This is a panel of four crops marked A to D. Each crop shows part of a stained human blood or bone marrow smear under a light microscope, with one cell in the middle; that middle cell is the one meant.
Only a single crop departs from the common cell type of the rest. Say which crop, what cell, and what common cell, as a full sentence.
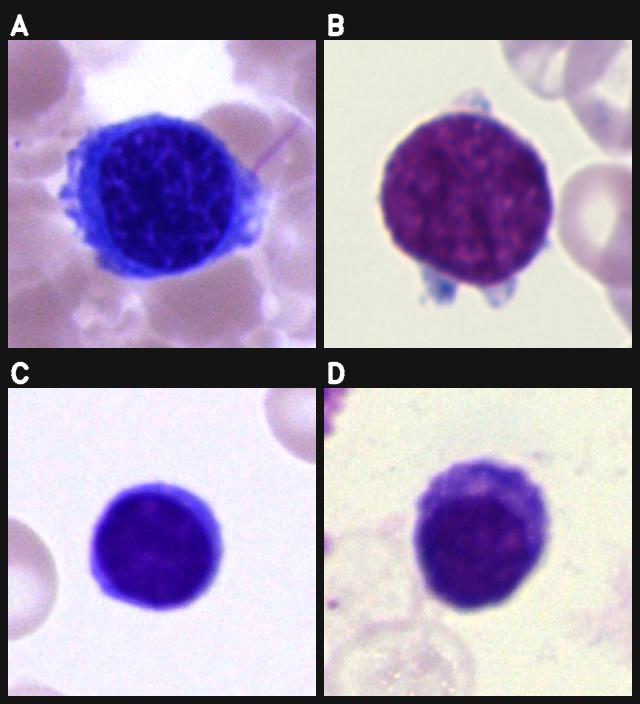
The remaining crops are all lymphocytes, so crop A, being an erythroblast, is the exception.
